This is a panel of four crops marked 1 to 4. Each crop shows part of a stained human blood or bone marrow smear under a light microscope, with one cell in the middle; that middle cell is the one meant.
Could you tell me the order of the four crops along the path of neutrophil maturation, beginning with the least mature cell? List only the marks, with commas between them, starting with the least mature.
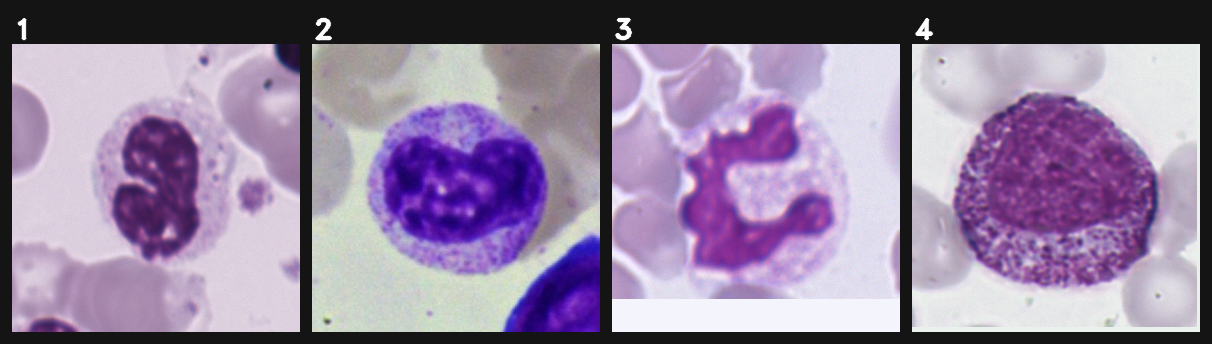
4, 2, 1, 3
